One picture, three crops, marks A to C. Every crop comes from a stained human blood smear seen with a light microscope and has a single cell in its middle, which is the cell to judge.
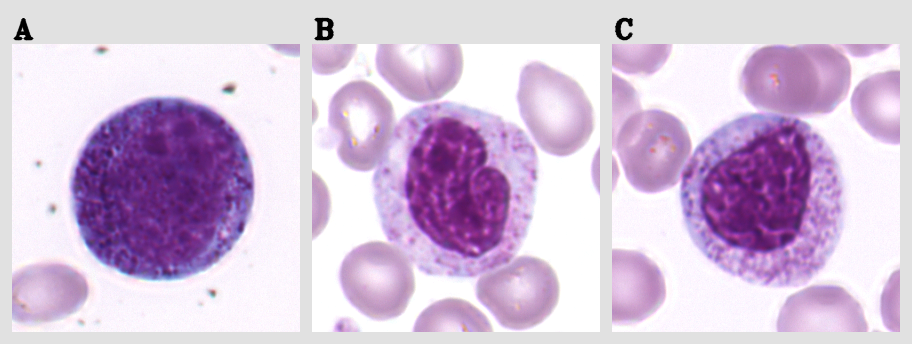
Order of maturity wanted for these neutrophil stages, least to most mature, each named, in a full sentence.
In order of increasing maturity, the crops run crop A (a promyelocyte), crop C (a metamyelocyte) and crop B (a band neutrophil).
